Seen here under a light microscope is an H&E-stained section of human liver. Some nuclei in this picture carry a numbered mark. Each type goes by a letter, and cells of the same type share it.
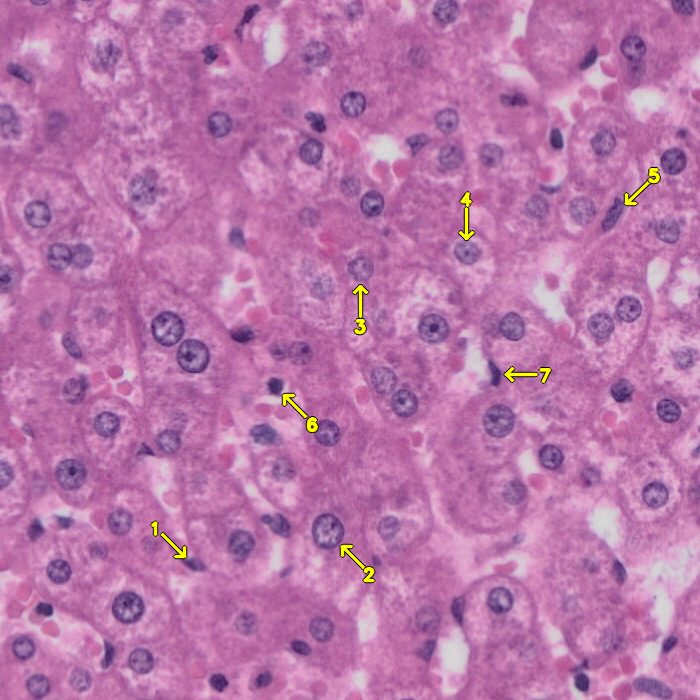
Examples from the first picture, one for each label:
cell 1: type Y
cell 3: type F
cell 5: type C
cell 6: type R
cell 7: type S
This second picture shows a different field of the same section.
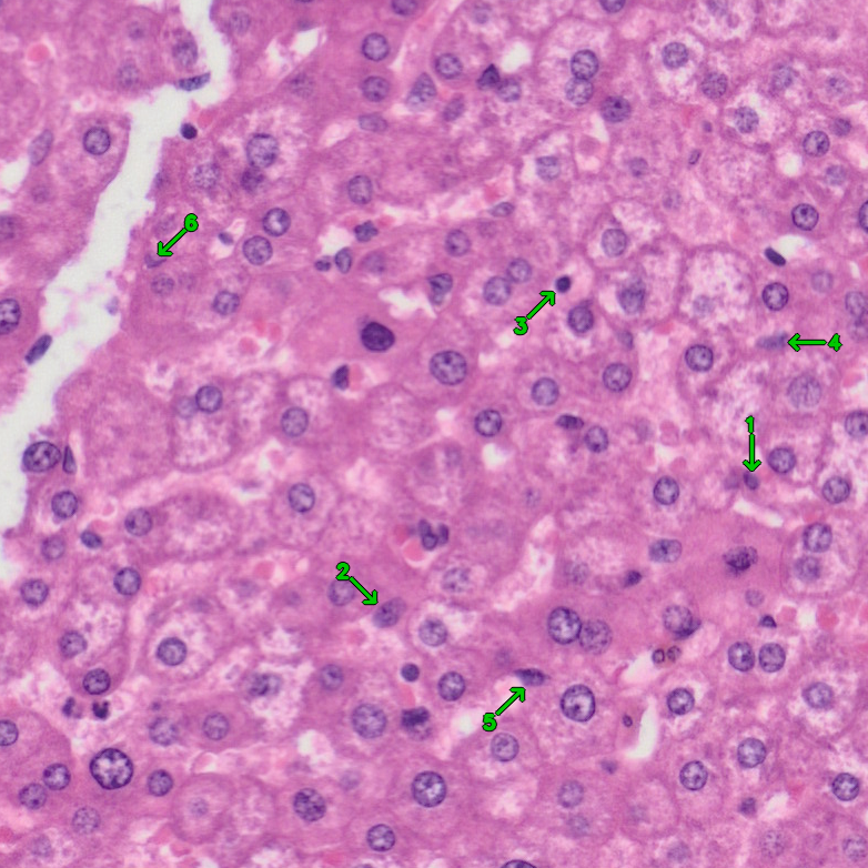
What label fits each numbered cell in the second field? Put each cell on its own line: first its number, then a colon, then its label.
1: type C
2: type Y
3: type R
4: type Y
5: type S
6: type S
